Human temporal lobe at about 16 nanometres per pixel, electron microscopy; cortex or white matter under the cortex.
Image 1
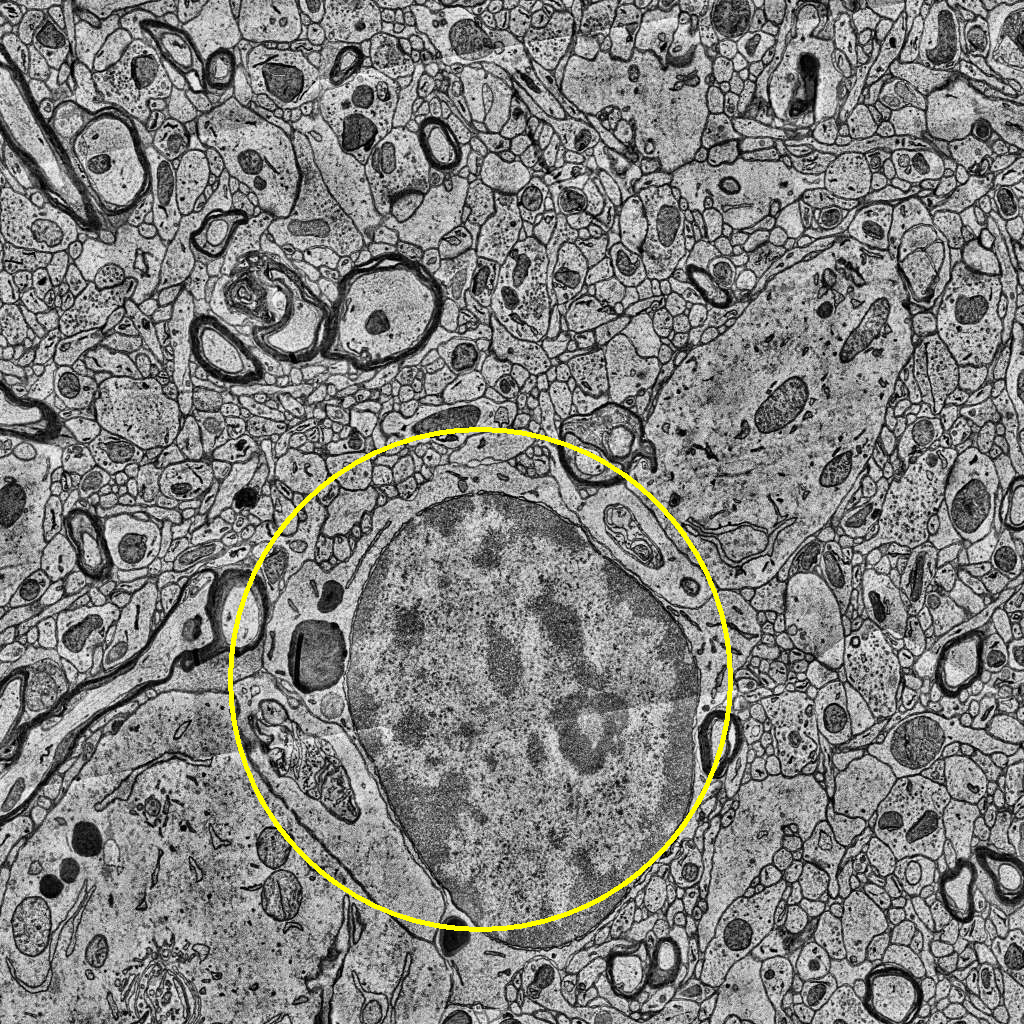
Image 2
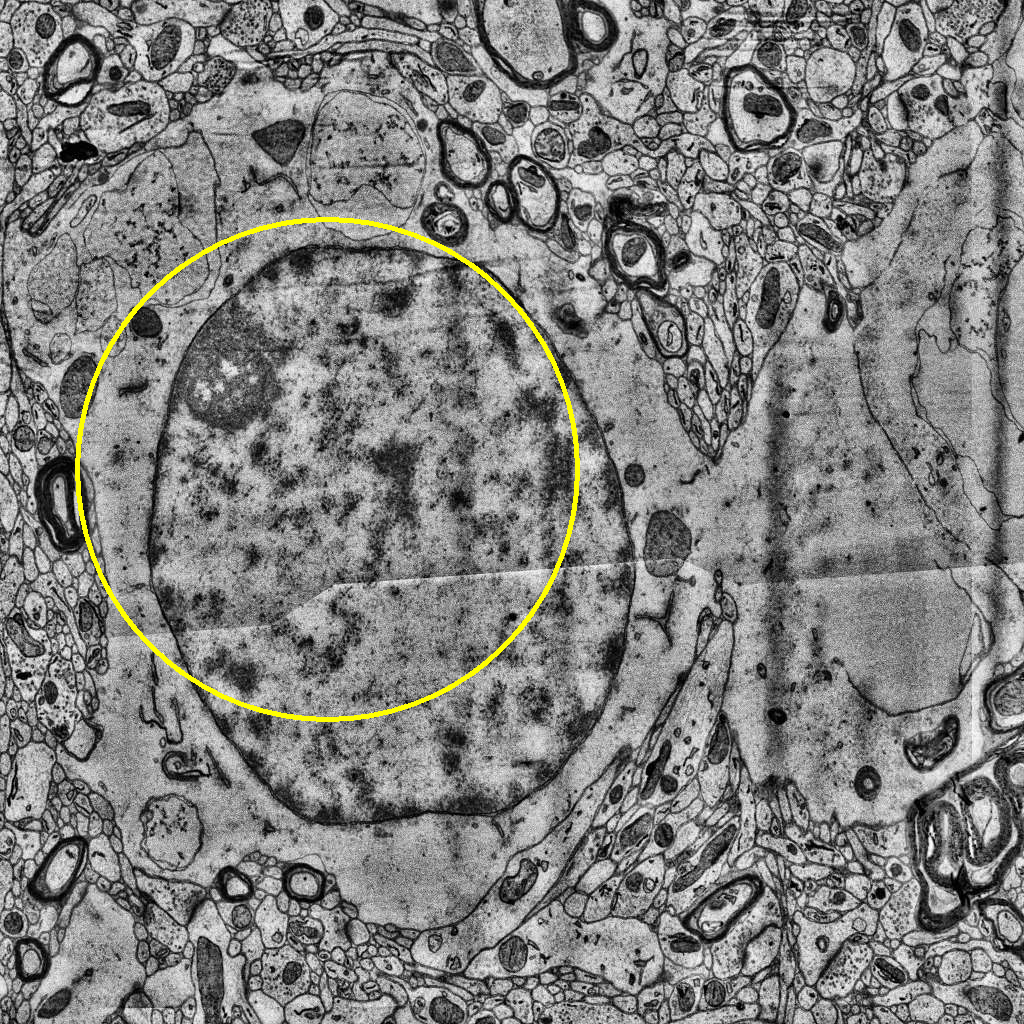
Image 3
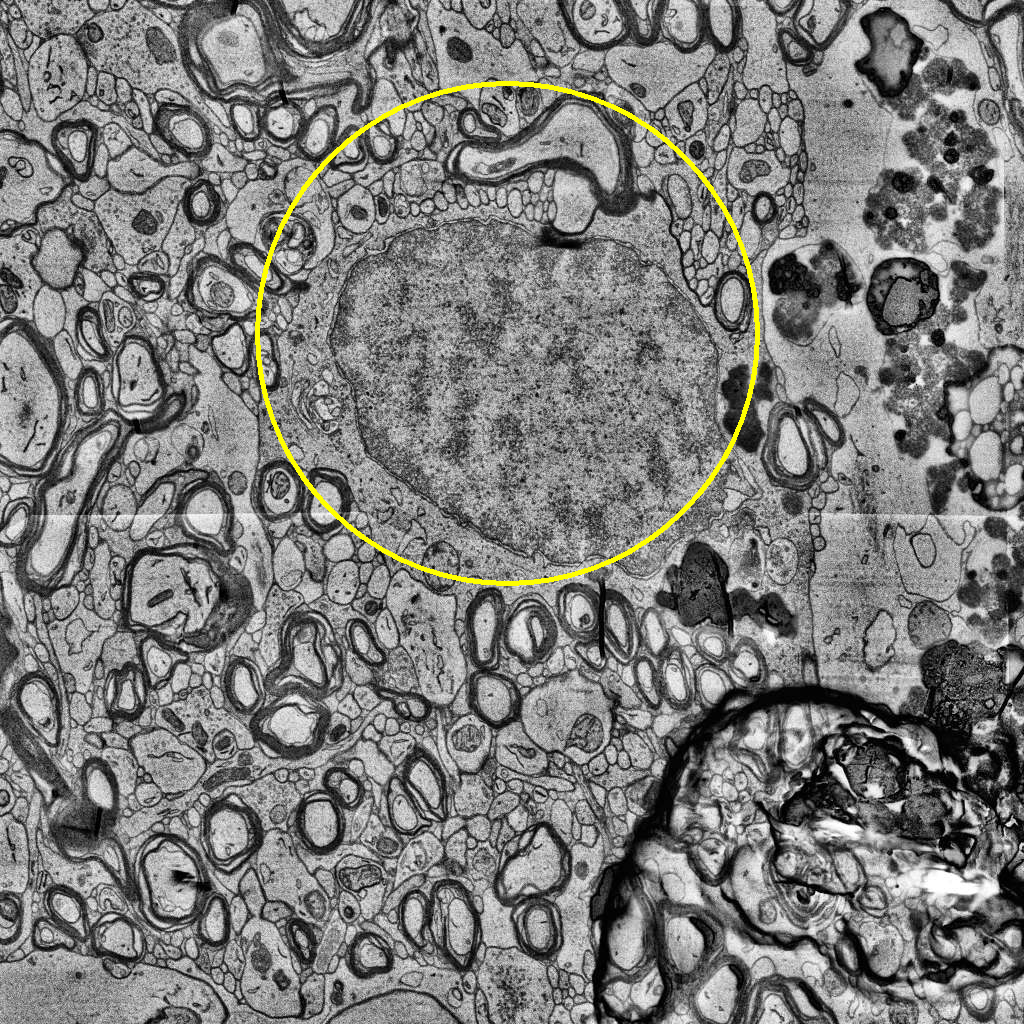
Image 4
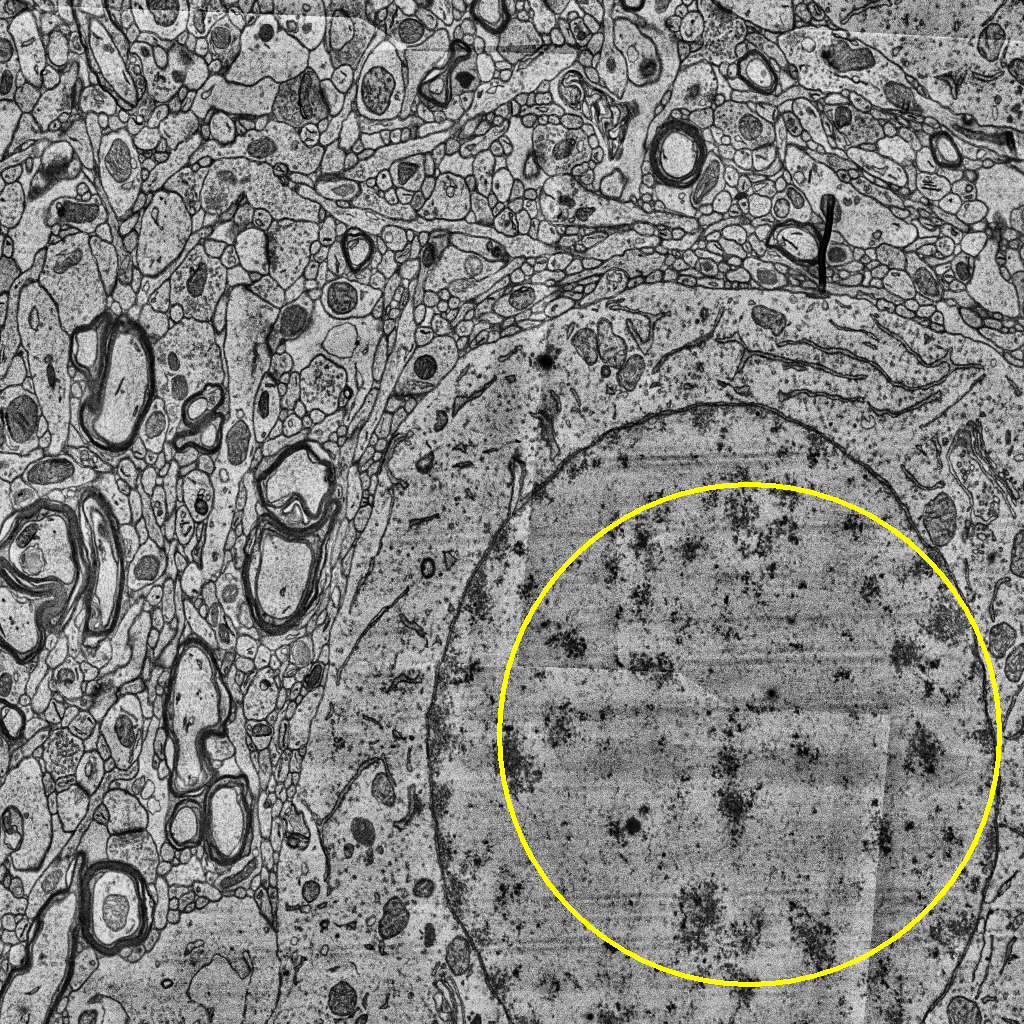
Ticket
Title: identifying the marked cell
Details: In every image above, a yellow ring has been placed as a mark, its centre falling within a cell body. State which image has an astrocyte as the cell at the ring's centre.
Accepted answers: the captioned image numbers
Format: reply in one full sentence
The centre of the ring in image 2 lies within the cell in question.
